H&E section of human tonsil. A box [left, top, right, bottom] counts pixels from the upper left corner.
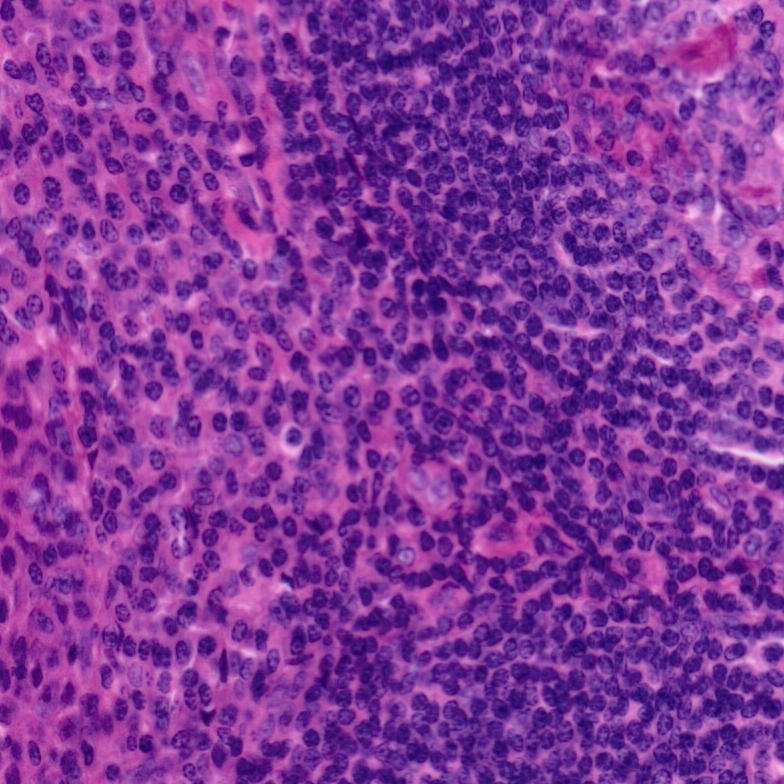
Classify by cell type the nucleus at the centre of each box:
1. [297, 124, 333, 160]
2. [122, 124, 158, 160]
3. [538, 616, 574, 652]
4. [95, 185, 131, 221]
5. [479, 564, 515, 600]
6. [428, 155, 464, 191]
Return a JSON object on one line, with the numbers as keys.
{"1": "small lymphocyte", "2": "plasma cell", "3": "small lymphocyte", "4": "plasma cell", "5": "small lymphocyte", "6": "small lymphocyte"}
